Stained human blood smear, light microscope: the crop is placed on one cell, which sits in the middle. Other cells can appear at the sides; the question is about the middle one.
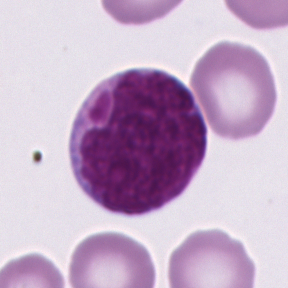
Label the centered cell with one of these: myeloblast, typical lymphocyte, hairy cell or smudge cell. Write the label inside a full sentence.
This crop has a myeloblast at its centre.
